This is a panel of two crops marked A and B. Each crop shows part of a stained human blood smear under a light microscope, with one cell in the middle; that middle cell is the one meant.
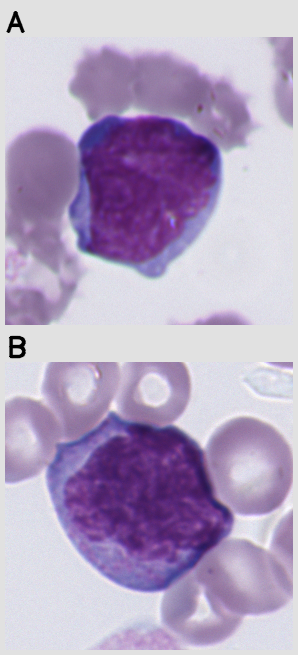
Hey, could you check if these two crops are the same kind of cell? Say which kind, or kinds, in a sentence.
No, crop A contains a myeloblast, and crop B contains a promyelocyte.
